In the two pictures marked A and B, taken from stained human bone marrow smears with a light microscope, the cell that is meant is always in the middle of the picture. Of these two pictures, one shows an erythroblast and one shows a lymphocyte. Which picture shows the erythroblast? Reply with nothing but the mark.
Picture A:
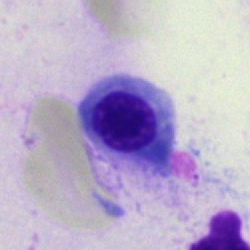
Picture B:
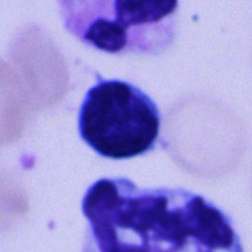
A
